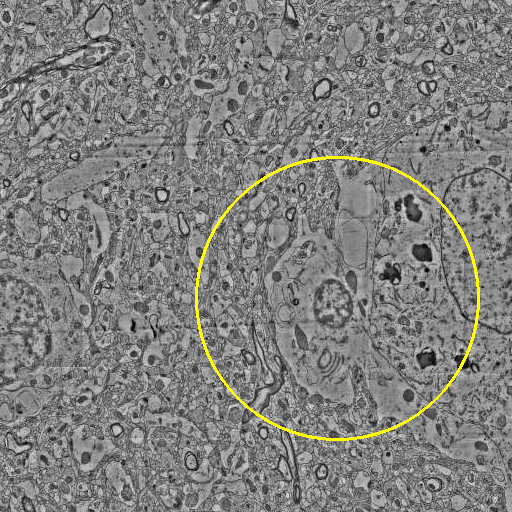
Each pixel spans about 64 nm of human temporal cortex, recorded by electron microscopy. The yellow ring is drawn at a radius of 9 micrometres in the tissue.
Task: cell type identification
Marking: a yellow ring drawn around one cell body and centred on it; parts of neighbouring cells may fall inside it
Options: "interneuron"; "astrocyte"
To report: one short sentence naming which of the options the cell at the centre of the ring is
The cell at the centre of the ring is an astrocyte.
